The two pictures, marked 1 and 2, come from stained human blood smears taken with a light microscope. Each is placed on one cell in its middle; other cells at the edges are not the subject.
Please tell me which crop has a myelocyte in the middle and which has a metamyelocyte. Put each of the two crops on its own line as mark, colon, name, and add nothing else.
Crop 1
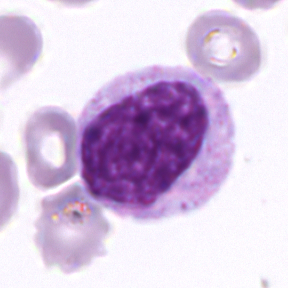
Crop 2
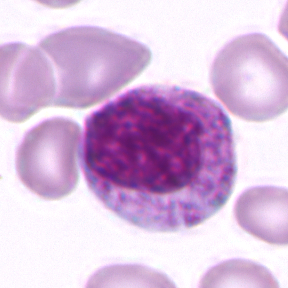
1: metamyelocyte
2: myelocyte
